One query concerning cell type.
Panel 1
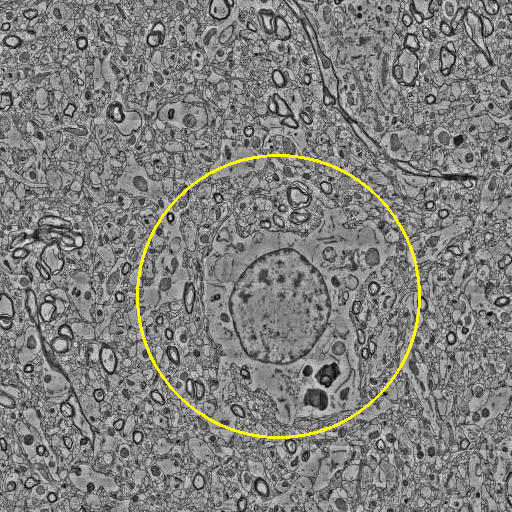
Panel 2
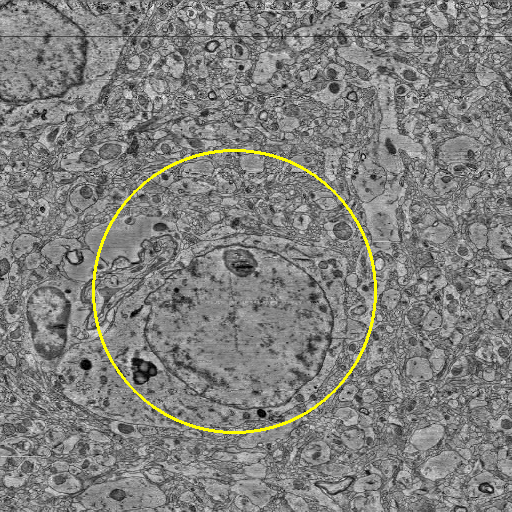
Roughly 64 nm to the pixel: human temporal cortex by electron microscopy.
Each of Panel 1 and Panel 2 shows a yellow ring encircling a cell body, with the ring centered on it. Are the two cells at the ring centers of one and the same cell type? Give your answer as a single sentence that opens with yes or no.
No, the cell centered in Panel 1 and the one in Panel 2 are of two types.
